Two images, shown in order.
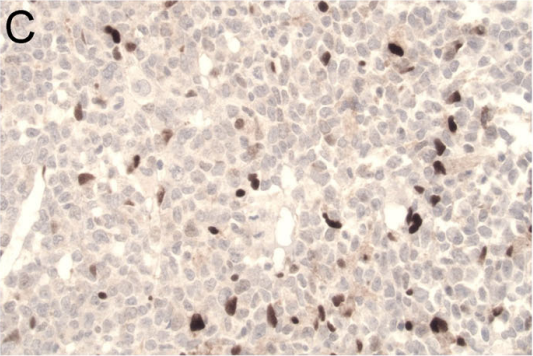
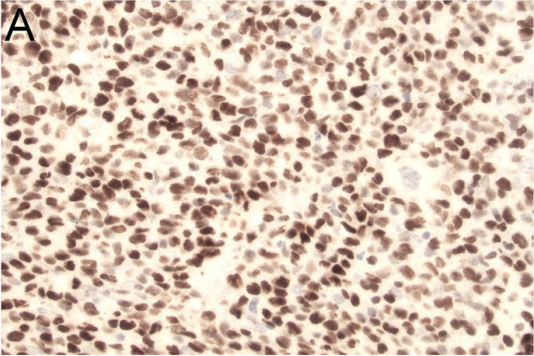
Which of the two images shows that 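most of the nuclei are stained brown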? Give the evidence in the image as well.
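The second image. First image: only a few scattered nuclei are brown; most are pale blue-grey. Second image: nearly all nuclei across the field are brown.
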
